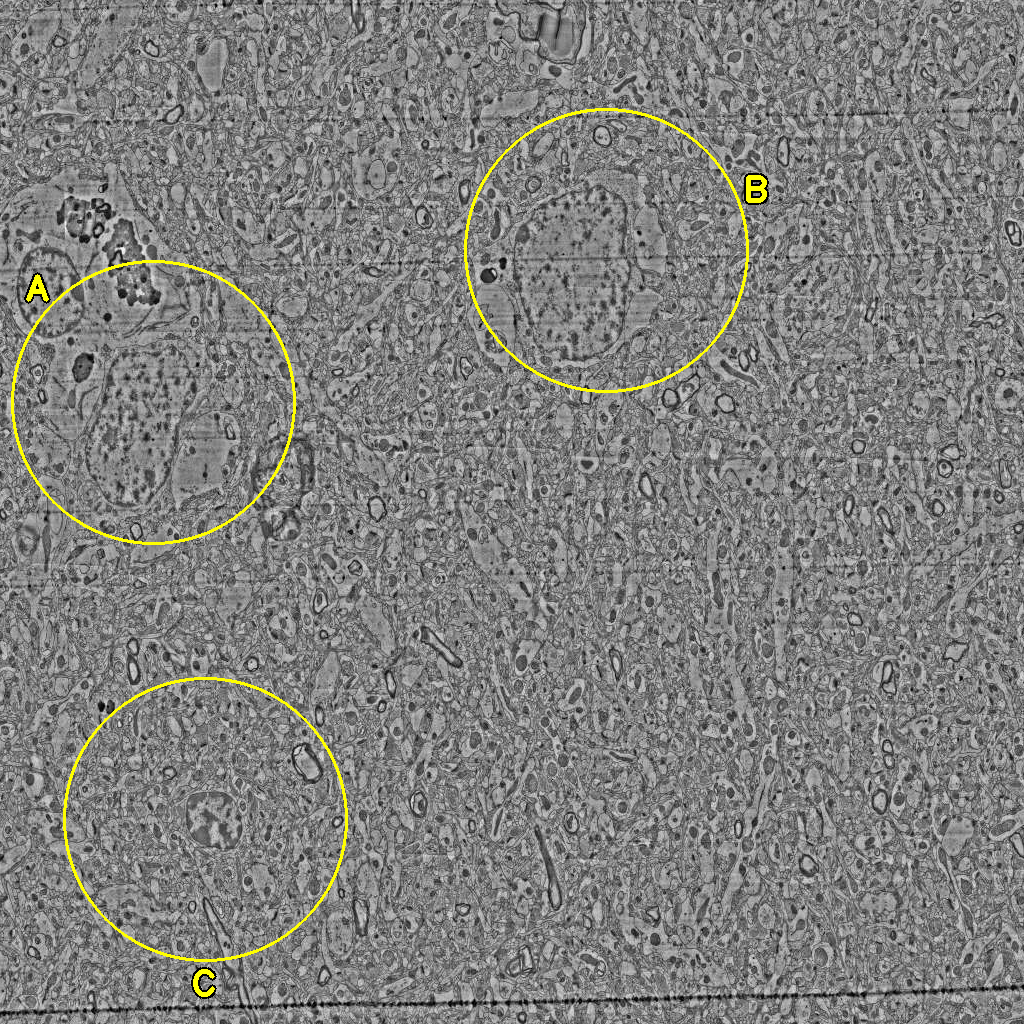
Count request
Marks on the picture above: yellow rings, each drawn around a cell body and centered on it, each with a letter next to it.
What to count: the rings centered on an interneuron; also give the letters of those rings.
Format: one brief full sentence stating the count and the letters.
As for the rings with the letters A and B, there are two, each centred on an interneuron.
